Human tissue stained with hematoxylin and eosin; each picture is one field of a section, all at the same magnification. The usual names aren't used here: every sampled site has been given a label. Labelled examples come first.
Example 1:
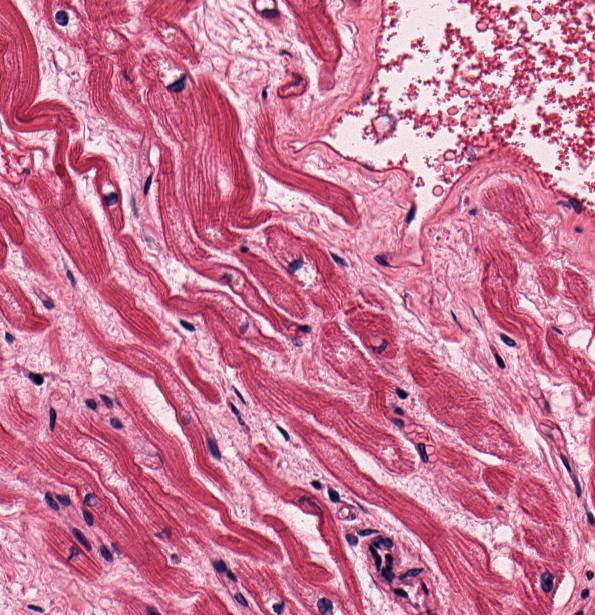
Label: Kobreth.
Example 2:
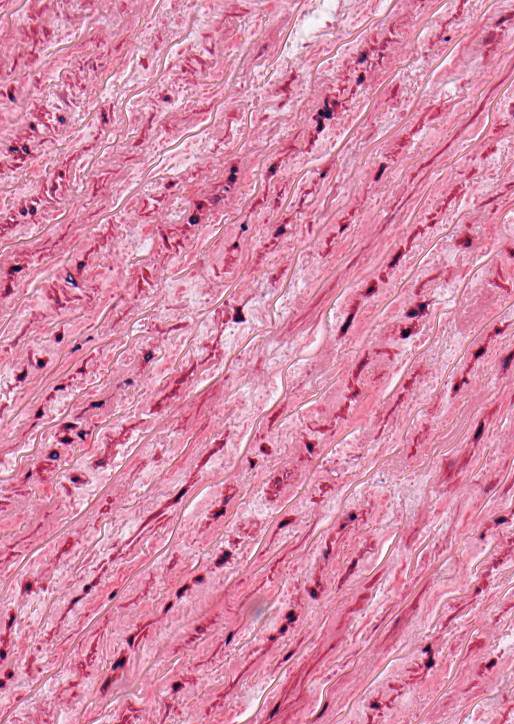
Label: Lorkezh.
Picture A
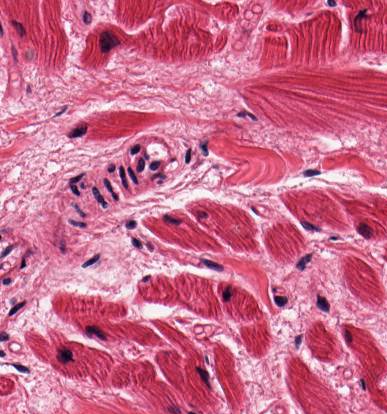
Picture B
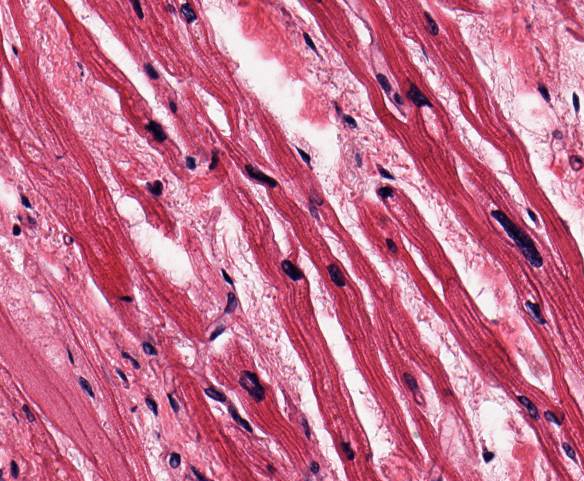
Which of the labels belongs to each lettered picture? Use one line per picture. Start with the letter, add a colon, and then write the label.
A: Kobreth.
B: Kobreth.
